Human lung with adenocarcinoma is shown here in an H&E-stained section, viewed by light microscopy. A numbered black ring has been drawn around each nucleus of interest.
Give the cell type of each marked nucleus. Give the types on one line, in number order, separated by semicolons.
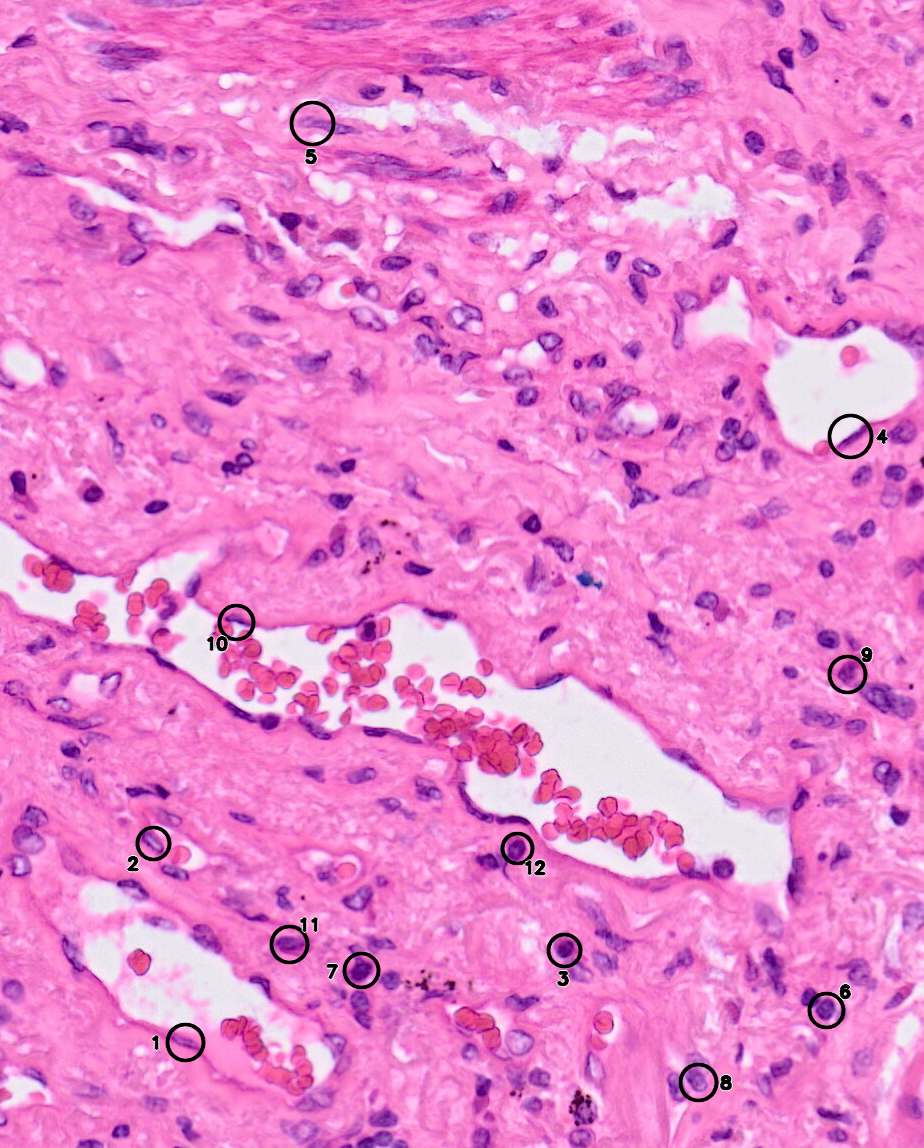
endothelial cell; endothelial cell; plasma cell; endothelial cell; smooth muscle cell or pericyte; lymphocyte; plasma cell; lymphocyte; plasma cell; endothelial cell; plasma cell; plasma cell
